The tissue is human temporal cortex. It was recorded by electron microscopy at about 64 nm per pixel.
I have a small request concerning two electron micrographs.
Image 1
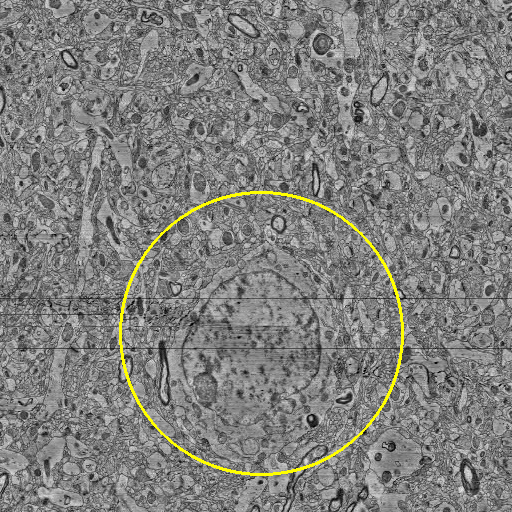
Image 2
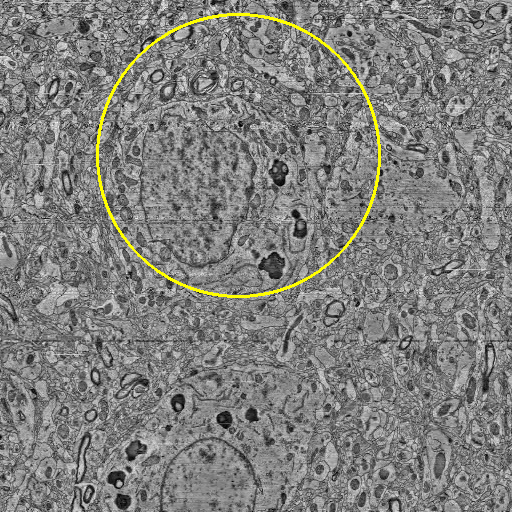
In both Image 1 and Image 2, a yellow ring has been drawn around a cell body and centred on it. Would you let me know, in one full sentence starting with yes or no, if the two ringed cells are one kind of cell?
Yes, the cells ringed in Image 1 and Image 2 are one kind of cell.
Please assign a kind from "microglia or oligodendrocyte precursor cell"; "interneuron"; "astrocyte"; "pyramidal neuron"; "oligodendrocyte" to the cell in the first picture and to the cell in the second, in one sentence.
Both pictures show an interneuron at the centre of the ring.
